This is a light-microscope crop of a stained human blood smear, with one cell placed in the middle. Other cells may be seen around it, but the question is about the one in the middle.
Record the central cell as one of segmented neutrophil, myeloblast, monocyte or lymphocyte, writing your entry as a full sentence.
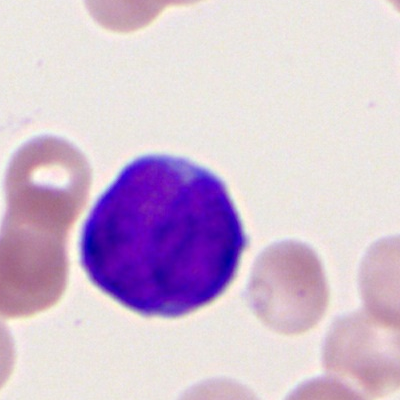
To answer, the cell in the center of the crop is a myeloblast.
